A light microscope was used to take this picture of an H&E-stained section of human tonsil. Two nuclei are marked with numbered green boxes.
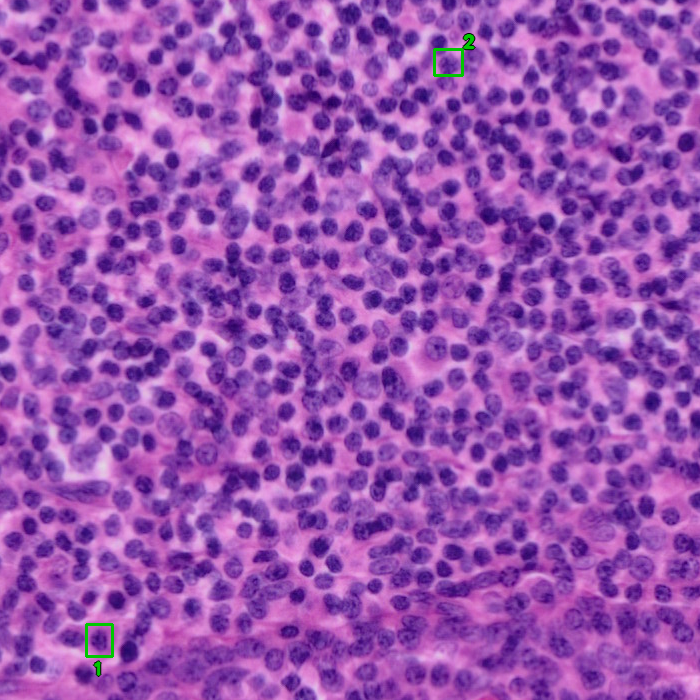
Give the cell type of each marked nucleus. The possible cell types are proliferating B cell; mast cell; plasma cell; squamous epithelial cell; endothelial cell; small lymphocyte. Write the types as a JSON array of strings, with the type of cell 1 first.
["plasma cell", "small lymphocyte"]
